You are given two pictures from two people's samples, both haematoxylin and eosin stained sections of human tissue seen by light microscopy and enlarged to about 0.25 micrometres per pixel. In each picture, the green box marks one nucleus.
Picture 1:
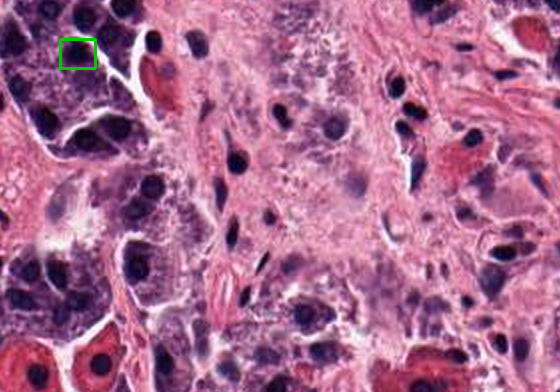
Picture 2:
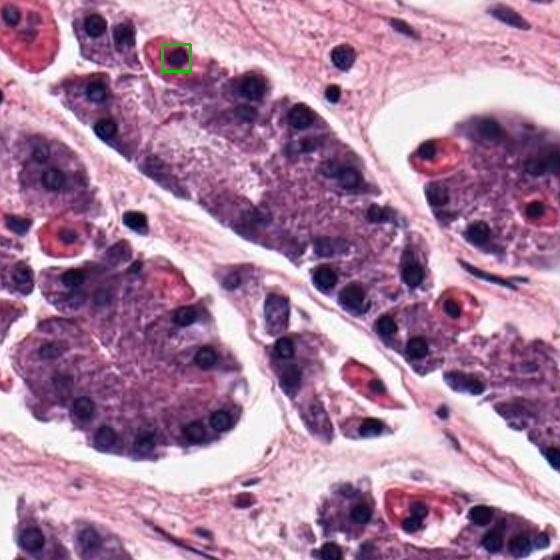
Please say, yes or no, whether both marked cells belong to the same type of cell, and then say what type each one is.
No, the first is a chief cell and the second a parietal cell.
